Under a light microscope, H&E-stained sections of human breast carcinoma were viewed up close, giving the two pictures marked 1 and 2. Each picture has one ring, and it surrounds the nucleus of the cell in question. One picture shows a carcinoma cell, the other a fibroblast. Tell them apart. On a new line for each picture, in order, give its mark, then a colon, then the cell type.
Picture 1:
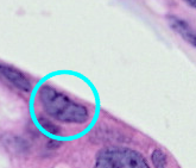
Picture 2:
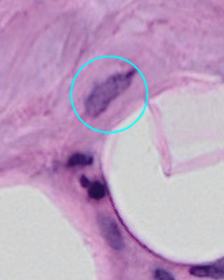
1: carcinoma cell
2: fibroblast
